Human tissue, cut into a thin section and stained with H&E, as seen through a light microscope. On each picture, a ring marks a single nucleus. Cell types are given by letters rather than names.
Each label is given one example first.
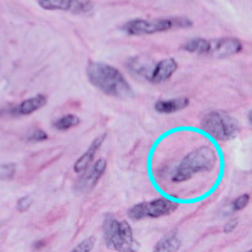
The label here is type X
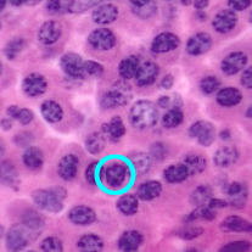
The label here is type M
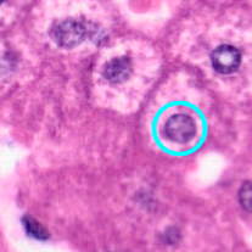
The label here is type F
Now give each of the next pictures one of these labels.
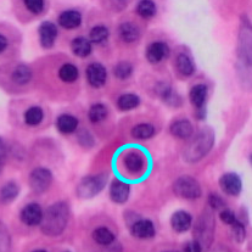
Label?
type M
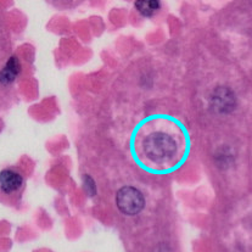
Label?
type F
